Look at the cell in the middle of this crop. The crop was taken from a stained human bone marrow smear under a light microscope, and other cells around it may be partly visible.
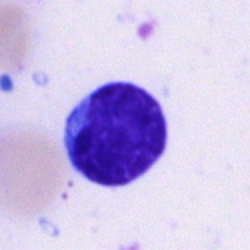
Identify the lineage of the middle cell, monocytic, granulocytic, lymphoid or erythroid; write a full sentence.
The cell that sits at the center is attributed to the lymphoid lineage.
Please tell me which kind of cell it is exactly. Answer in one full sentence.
What the crop centres on is a lymphocyte.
